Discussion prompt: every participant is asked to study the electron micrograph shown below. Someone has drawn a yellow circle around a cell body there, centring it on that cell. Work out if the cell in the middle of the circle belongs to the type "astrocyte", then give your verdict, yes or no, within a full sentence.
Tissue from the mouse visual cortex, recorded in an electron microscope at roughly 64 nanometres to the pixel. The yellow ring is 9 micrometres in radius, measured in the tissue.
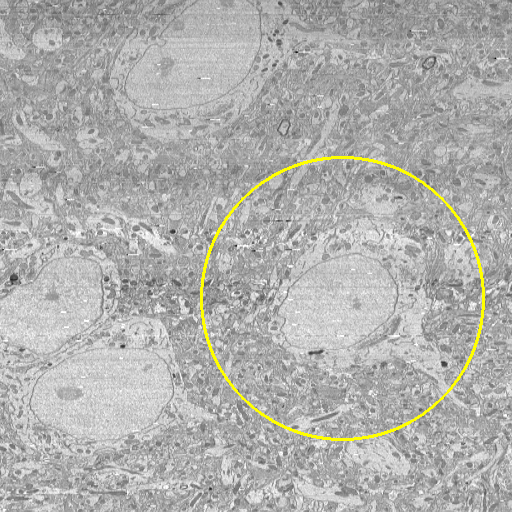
No, my verdict is that the cell in the circle's centre is of a different type.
